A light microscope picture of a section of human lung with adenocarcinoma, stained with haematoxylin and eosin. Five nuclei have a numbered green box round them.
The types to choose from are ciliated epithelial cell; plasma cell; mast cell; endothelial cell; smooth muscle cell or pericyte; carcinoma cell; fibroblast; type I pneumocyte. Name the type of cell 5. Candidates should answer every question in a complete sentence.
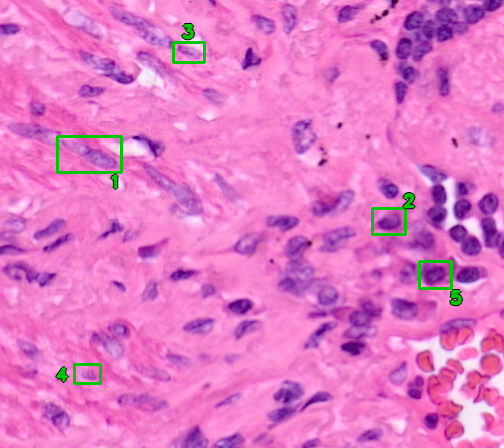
The correct answer for cell 5 is a plasma cell.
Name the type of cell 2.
In the tissue shown, cell 2 is a plasma cell.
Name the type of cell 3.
Here, the cell given the number 3 is a smooth muscle cell or pericyte.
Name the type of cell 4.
The marked cell with the number 4 is recognised as a smooth muscle cell or pericyte.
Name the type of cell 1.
The cell that goes by number 1 is a smooth muscle cell or pericyte.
